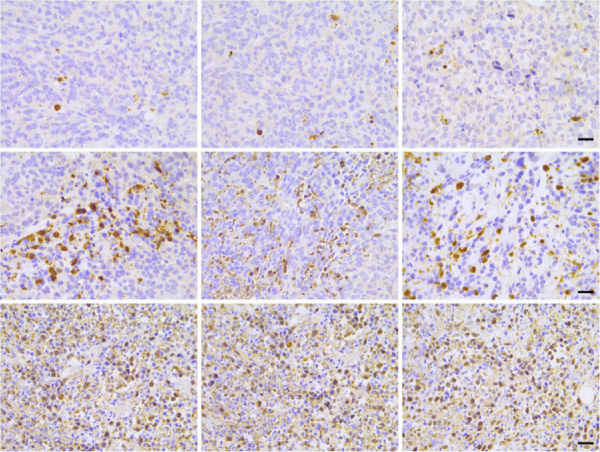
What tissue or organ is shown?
Tumor.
